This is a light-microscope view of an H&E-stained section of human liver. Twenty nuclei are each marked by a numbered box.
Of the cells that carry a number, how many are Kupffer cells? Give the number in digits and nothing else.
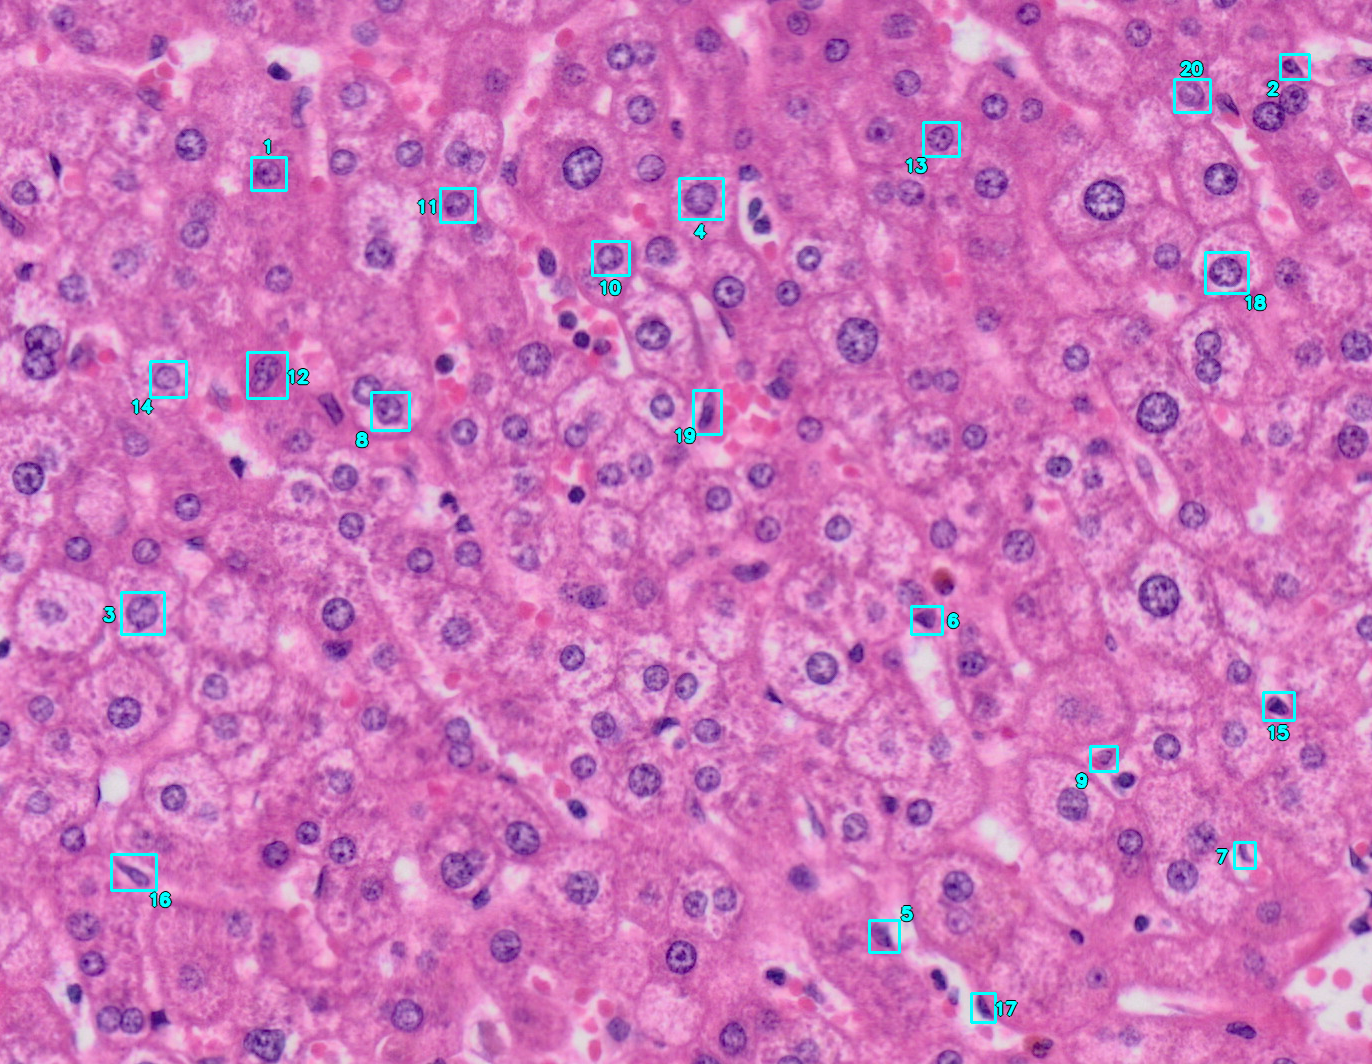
4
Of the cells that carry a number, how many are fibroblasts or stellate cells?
2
